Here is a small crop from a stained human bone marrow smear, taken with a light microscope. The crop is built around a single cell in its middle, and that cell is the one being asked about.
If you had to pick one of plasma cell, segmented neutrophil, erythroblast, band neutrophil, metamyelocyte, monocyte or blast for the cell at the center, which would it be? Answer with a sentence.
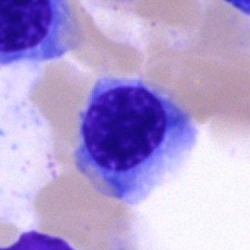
The crop shows an erythroblast in its centre.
